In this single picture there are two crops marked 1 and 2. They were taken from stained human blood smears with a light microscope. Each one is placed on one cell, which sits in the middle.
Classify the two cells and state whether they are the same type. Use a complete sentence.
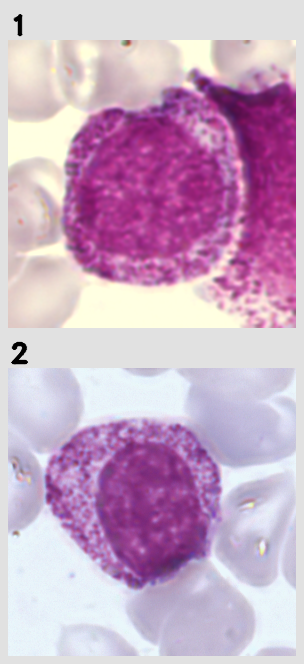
Yes, the two crops show myelocytes, one cell each.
